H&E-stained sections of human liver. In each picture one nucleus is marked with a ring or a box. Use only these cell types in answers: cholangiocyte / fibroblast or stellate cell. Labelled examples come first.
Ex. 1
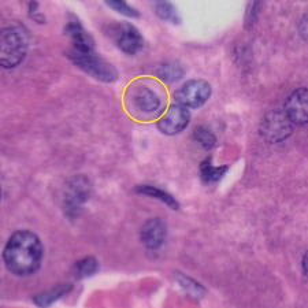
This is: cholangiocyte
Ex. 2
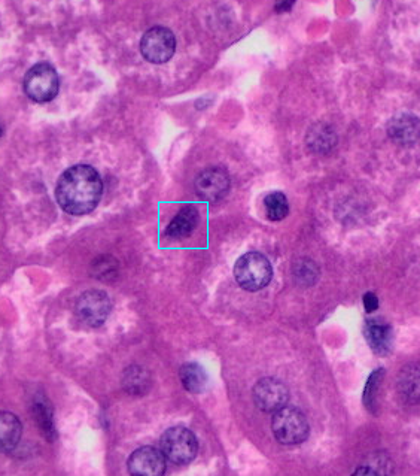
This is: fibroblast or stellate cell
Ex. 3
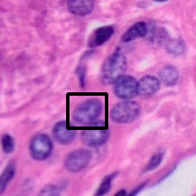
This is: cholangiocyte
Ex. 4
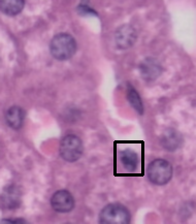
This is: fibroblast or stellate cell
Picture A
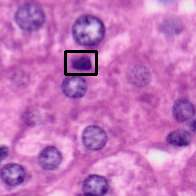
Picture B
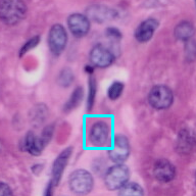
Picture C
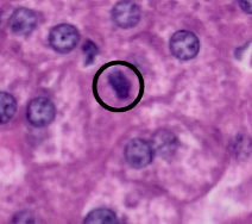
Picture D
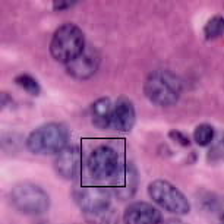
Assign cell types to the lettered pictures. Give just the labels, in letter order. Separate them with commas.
fibroblast or stellate cell, cholangiocyte, fibroblast or stellate cell, cholangiocyte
